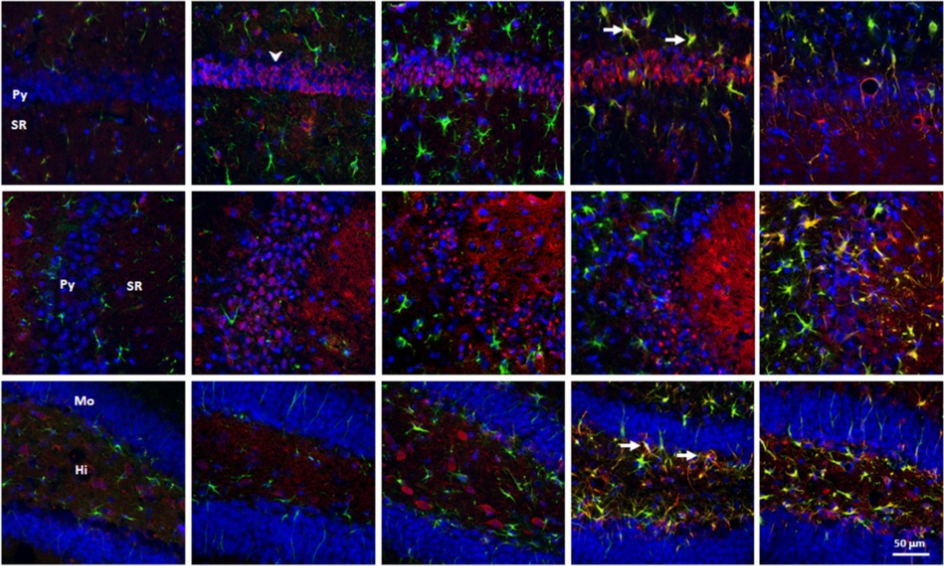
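Blue nuclei outline the compact pyramidal cell layer and the densely packed granule cell layer bordering the hilus. Star-shaped glial cells with thin radiating green processes are scattered through the tissue; in some images they are more numerous and thicker, with processes appearing yellow where red overlaps. In several images the cell bodies of the pyramidal layer are filled with red, and in the hilus large red cell bodies stand out.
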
